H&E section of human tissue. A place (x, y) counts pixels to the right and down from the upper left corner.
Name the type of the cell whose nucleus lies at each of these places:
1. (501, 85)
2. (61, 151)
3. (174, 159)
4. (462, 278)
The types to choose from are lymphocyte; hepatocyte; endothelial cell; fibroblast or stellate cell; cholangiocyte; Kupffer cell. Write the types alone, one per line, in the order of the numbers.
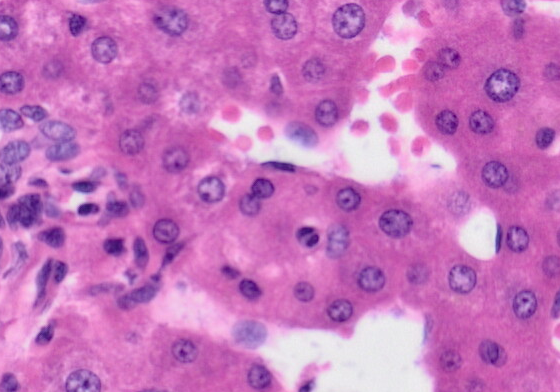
hepatocyte
cholangiocyte
hepatocyte
hepatocyte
